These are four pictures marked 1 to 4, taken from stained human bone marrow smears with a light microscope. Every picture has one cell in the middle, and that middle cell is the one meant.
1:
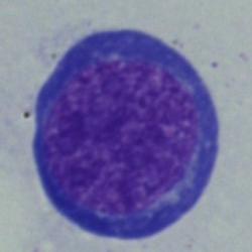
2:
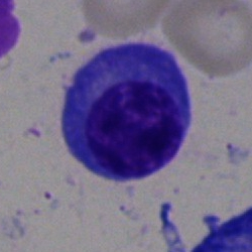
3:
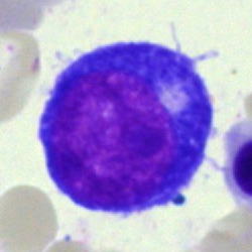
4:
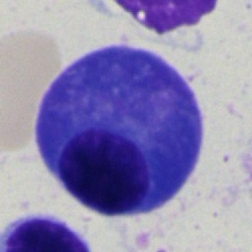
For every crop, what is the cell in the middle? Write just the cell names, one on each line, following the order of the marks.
proerythroblast
plasma cell
proerythroblast
plasma cell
